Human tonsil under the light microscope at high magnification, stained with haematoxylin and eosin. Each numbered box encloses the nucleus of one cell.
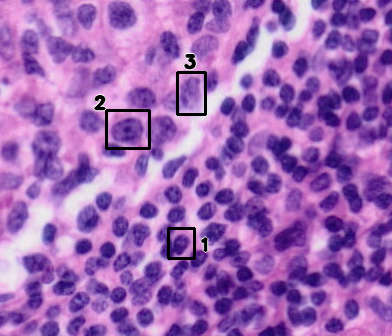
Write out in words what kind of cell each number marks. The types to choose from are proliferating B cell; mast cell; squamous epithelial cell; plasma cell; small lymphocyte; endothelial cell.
Cell 1 is a small lymphocyte, cell 2 is a proliferating B cell and cell 3 is a proliferating B cell.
